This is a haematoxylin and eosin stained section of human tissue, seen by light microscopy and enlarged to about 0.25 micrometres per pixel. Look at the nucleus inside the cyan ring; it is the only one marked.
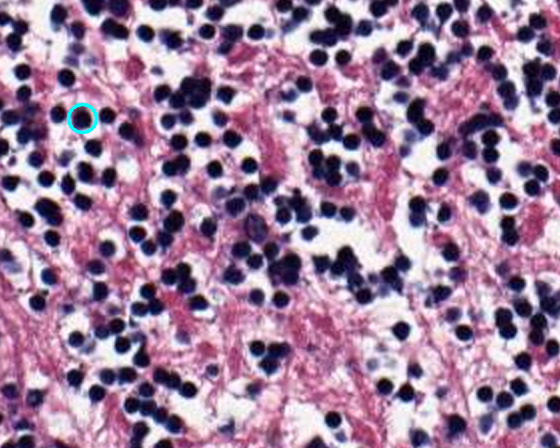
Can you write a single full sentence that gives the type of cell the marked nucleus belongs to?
In this image, the nucleus that is marked belongs to a cerebellar granule cell.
